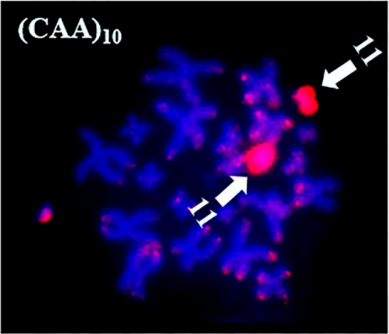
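Condensed chromosomes of one spread cell appear as blue rods, many with visibly separated arms, crowded toward the centre of the field. Fine red dots are scattered along most chromosomes, especially near their ends, but two chromosomes stand out with a large, intensely bright red block that covers much of their length. One of these lies near the centre of the spread, the other at its upper right edge.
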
